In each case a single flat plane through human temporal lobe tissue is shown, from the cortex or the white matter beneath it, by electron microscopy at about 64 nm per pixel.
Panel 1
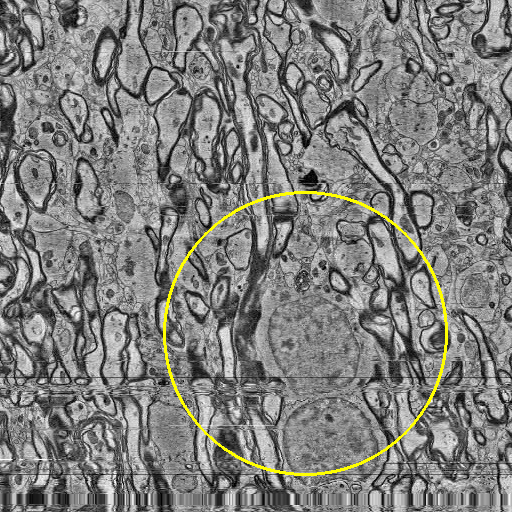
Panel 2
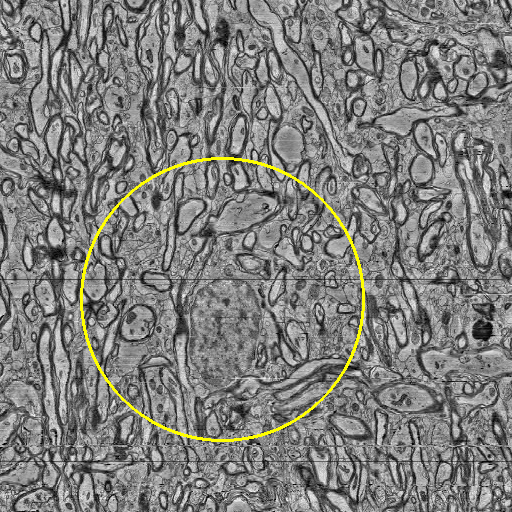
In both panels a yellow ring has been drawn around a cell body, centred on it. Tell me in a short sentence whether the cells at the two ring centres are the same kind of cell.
Yes, they are the same kind of cell.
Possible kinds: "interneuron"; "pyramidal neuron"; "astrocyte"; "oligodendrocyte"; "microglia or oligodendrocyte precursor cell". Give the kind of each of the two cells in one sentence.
Each of the two rings is centred on an oligodendrocyte.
